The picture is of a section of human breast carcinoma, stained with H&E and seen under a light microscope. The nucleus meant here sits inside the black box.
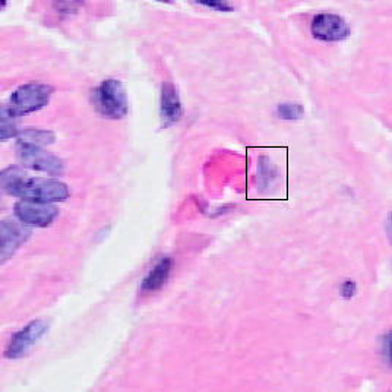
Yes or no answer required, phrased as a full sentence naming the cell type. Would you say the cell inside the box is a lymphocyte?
No; the cell inside the box should be labelled an endothelial cell rather than a lymphocyte.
